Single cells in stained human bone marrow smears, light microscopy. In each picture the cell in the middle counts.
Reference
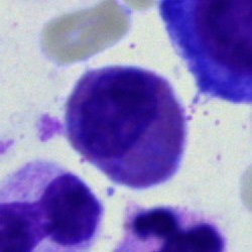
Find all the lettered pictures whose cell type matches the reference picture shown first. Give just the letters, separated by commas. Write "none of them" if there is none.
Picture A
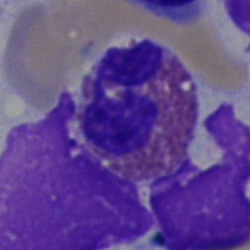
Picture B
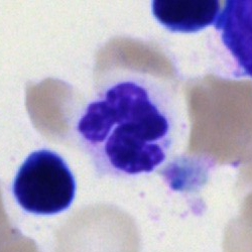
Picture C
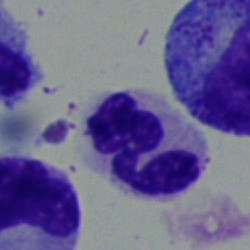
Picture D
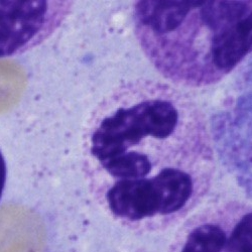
A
